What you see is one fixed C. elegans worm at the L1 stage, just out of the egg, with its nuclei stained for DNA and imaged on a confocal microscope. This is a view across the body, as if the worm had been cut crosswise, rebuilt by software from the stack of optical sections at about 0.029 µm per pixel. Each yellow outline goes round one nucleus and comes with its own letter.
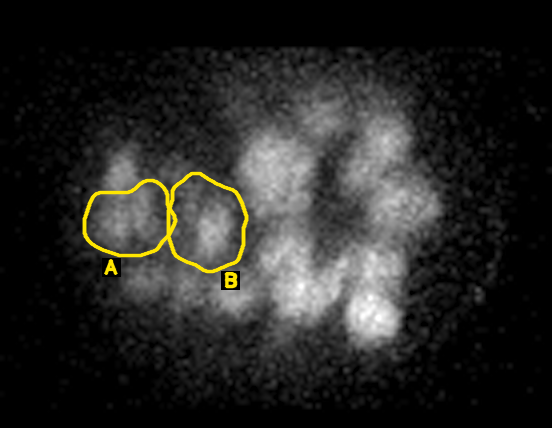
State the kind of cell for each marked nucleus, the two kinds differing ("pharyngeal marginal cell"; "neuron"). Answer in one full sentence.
B belongs to a pharyngeal marginal cell, and A to a neuron.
